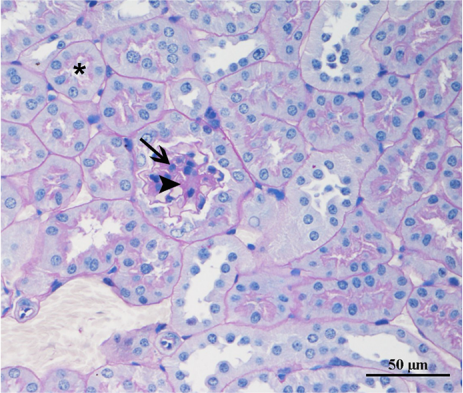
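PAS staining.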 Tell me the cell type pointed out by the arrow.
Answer: Mesangial cell.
